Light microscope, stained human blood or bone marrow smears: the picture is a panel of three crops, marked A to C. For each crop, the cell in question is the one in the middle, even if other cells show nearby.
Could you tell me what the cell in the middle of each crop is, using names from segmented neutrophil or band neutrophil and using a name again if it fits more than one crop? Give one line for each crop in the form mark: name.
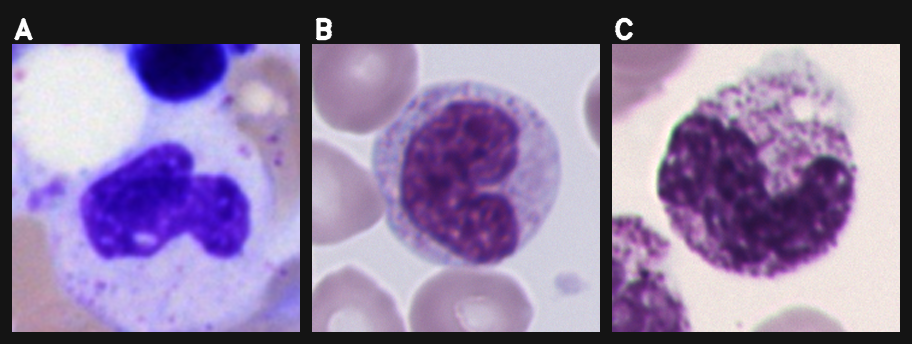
A: segmented neutrophil
B: band neutrophil
C: band neutrophil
